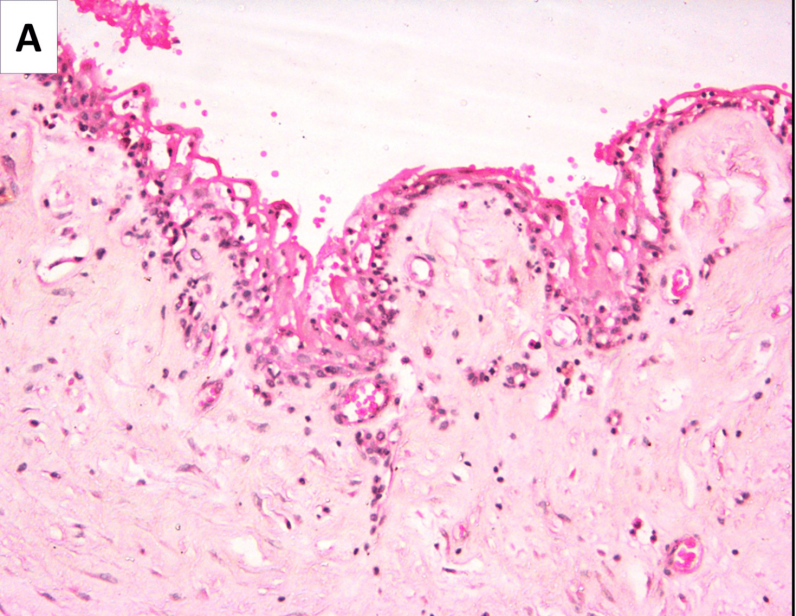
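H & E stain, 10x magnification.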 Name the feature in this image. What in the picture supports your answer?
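Cystic lumen. An empty clear space occupies the upper part of the panel.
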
